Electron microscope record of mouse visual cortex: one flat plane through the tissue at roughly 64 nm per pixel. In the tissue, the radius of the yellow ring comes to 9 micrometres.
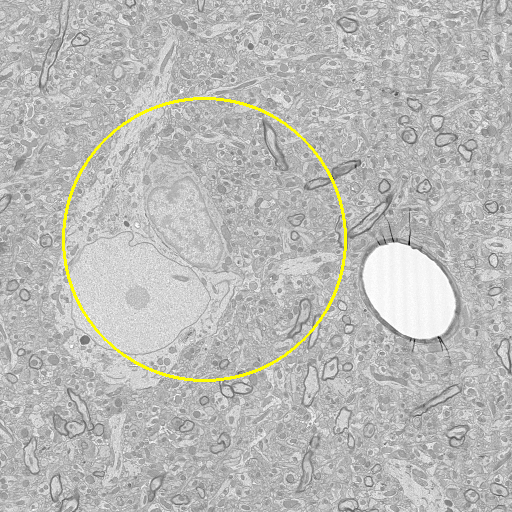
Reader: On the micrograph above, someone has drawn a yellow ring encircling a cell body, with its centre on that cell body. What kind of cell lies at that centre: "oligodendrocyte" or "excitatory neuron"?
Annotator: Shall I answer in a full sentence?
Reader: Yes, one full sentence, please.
Here an oligodendrocyte sits at the centre of the yellow ring drawn on the micrograph.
